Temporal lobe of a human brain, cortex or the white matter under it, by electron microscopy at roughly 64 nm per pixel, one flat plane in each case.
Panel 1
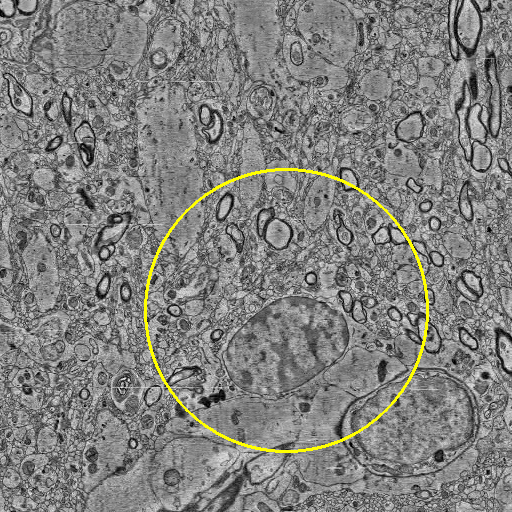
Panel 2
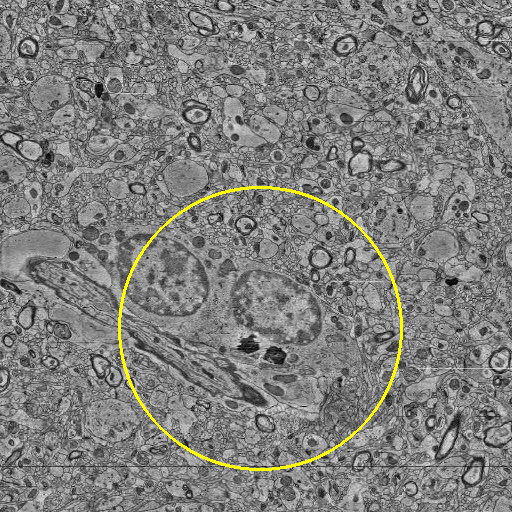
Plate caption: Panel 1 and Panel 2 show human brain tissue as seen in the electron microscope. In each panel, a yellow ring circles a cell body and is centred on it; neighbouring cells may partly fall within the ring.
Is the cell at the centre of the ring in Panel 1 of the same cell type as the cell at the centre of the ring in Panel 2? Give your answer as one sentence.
No, the two cells are of two types.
